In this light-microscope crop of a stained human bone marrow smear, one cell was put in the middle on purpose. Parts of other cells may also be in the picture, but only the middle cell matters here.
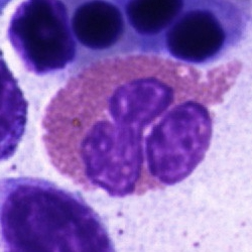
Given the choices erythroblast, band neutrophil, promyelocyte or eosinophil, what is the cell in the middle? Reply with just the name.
eosinophil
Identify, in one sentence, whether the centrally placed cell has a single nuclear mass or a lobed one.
The nucleus is segmented, with two or more lobes present.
